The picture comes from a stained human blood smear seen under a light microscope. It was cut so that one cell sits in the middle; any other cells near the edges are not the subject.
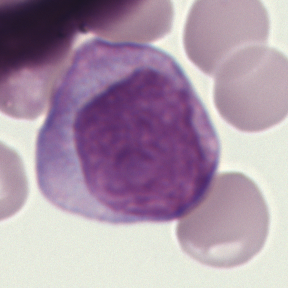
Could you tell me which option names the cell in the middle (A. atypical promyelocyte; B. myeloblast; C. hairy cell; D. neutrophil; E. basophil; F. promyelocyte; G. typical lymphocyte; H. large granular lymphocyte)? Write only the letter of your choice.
A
